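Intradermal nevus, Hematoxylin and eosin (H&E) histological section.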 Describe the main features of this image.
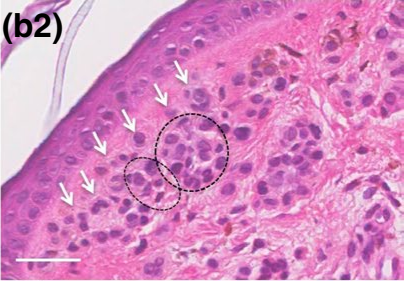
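Epidermis at upper left is stratified, with pink keratinocytes. Just below, a compact cluster of cells with round to oval purple nuclei and scant cytoplasm forms a nest. The surrounding dermis is pink, loosely fibrous, with scattered nuclei and small brownish pigment deposits.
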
